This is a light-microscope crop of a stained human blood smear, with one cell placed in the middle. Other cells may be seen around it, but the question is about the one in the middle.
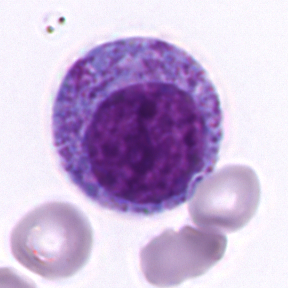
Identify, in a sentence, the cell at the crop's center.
Regarding the central cell, it is a promyelocyte.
